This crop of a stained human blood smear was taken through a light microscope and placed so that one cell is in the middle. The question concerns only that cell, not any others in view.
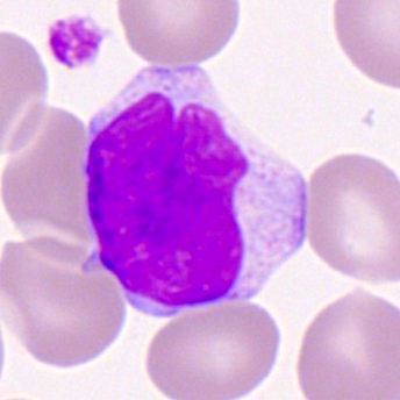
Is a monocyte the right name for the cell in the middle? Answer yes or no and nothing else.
no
